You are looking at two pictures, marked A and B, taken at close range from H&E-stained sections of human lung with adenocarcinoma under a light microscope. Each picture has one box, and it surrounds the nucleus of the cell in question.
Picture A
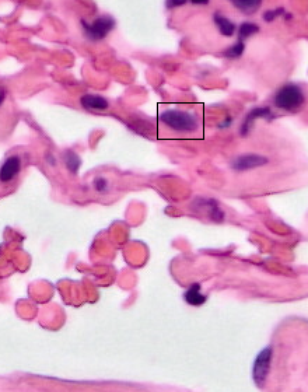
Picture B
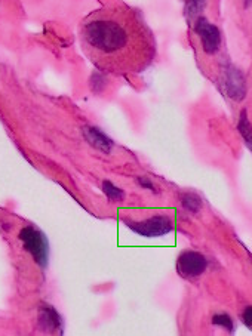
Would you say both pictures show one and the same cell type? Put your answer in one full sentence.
Yes, both are type I pneumocytes.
